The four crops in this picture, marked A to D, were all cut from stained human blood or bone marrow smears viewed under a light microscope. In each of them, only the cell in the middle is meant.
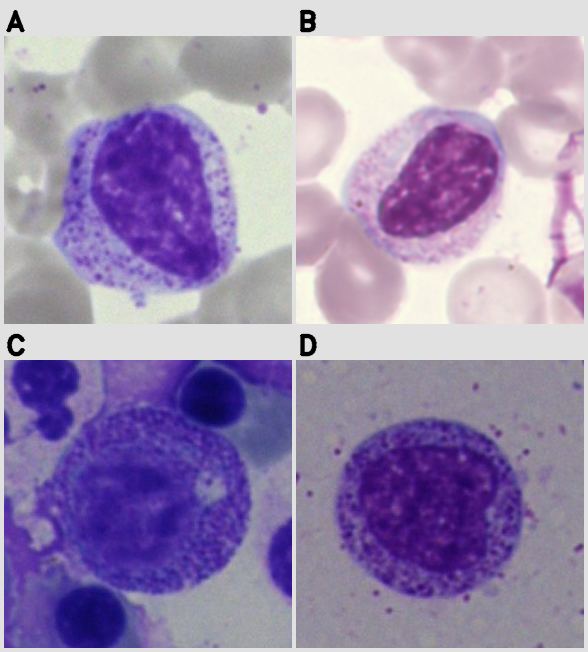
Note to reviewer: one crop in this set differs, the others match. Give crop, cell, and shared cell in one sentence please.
Although the other crops all show myelocytes, crop B shows a metamyelocyte.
